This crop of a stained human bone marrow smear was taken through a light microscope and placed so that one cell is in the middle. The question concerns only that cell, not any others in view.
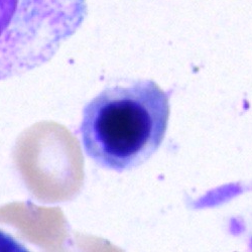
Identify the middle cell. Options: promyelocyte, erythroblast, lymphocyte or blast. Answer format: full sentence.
Standing at the centre of this crop is an erythroblast.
